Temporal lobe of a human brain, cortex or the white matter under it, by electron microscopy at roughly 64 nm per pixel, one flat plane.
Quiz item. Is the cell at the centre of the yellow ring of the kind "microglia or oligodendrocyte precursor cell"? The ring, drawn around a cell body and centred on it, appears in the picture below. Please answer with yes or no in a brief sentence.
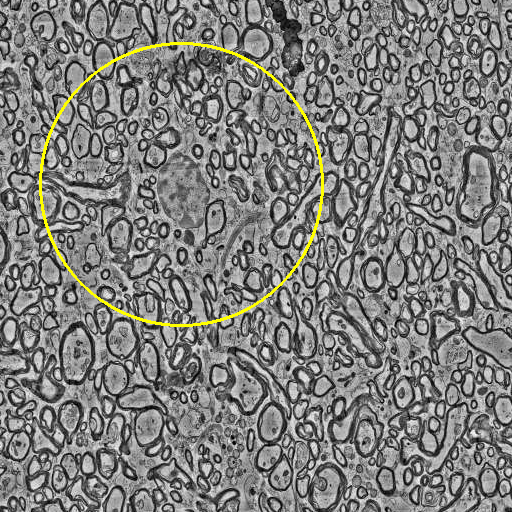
Yes, it is that kind of cell.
